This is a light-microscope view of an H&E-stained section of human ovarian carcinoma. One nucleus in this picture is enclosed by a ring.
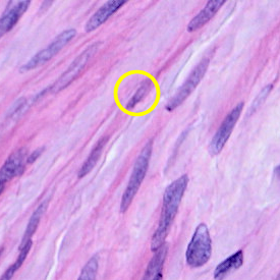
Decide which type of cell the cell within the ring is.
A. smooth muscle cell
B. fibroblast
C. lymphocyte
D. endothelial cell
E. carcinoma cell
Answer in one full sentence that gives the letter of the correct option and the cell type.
Option A is the one that fits, as the cell within the ring is a smooth muscle cell.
